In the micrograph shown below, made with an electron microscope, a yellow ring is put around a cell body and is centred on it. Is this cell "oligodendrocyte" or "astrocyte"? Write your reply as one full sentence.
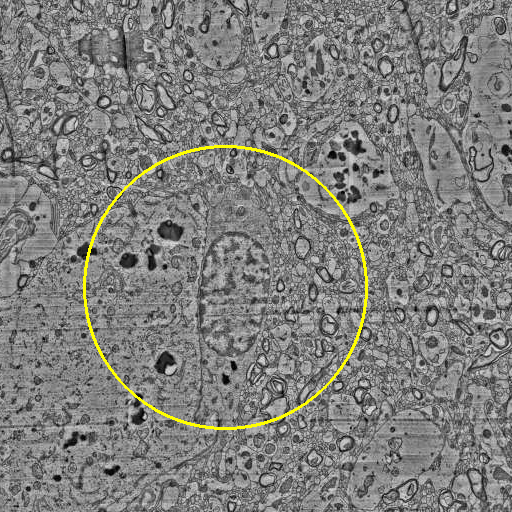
In the micrograph, an oligodendrocyte is the cell at the centre of the yellow ring.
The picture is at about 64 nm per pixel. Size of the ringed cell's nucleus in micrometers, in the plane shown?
Roughly 8 by 5 micrometres; in this plane, clearly longer than it is wide.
